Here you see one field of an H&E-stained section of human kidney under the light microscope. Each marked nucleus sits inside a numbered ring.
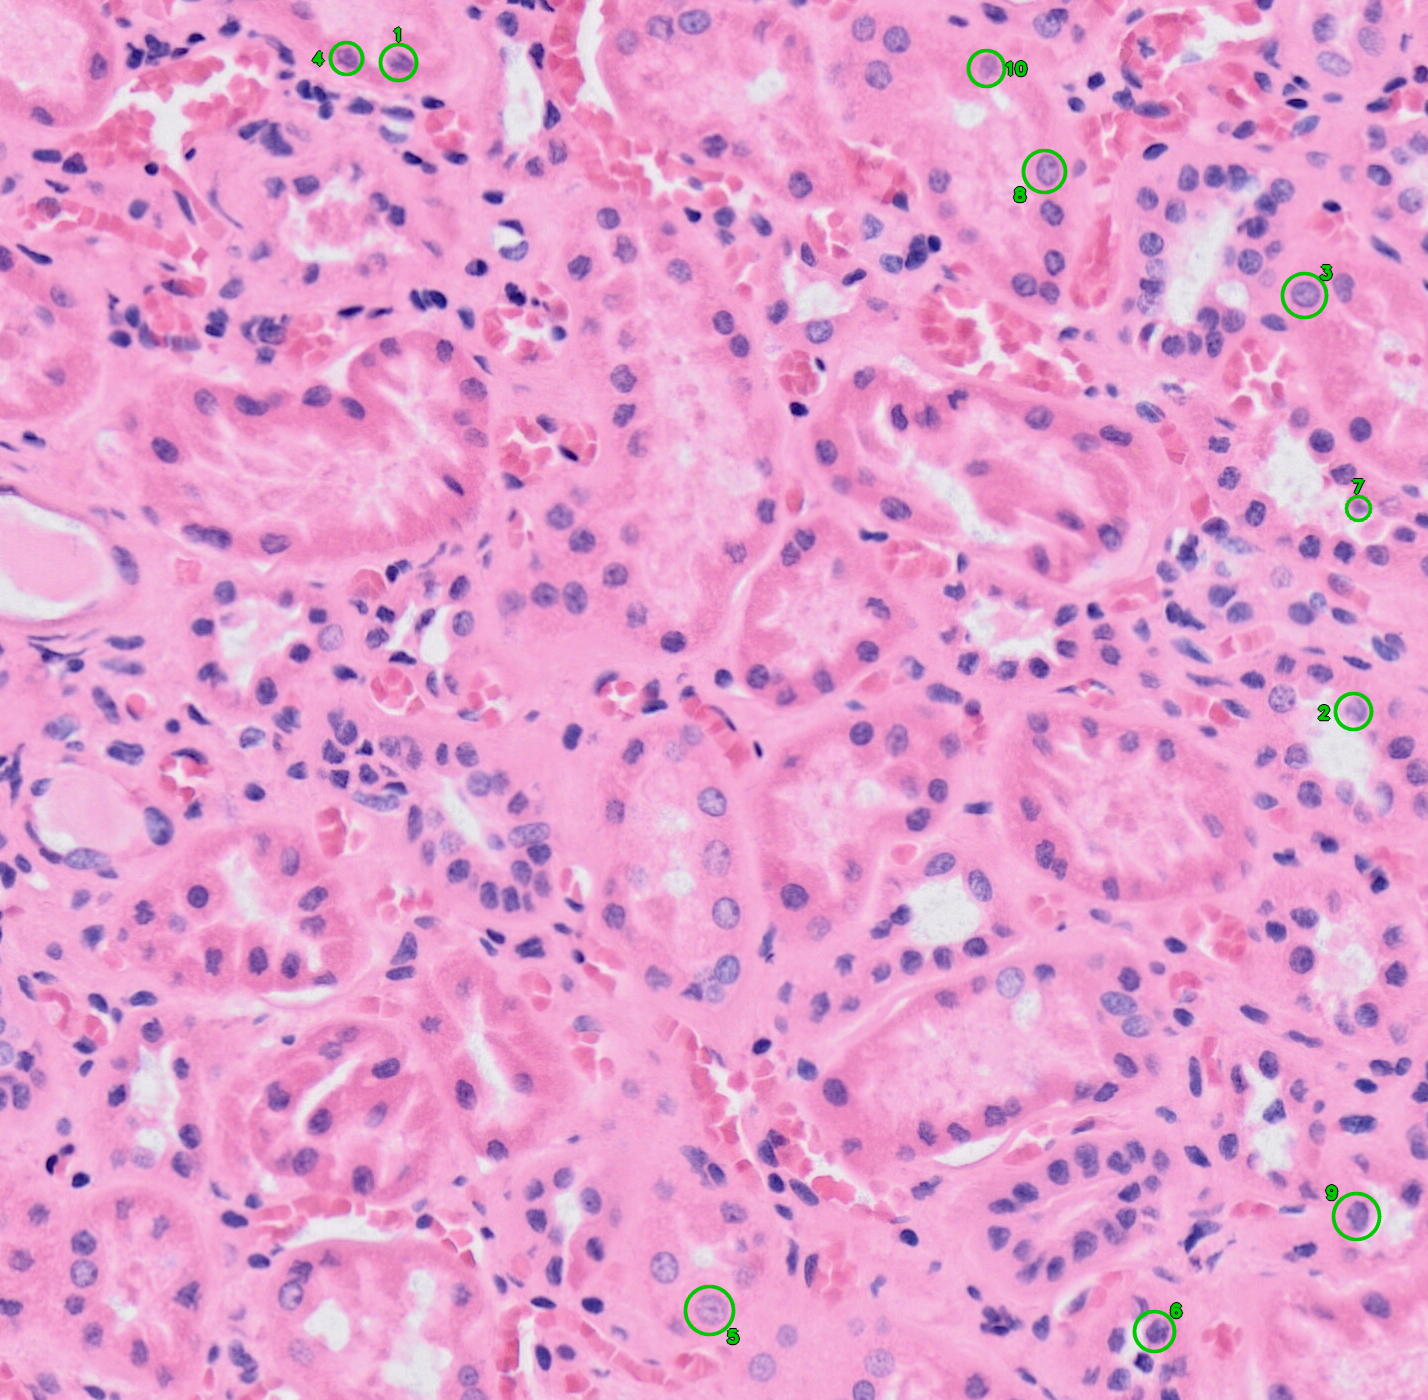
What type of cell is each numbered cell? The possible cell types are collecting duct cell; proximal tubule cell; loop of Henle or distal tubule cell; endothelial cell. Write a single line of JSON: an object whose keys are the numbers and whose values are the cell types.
{"1": "proximal tubule cell", "2": "loop of Henle or distal tubule cell", "3": "proximal tubule cell", "4": "proximal tubule cell", "5": "proximal tubule cell", "6": "loop of Henle or distal tubule cell", "7": "loop of Henle or distal tubule cell", "8": "proximal tubule cell", "9": "loop of Henle or distal tubule cell", "10": "proximal tubule cell"}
